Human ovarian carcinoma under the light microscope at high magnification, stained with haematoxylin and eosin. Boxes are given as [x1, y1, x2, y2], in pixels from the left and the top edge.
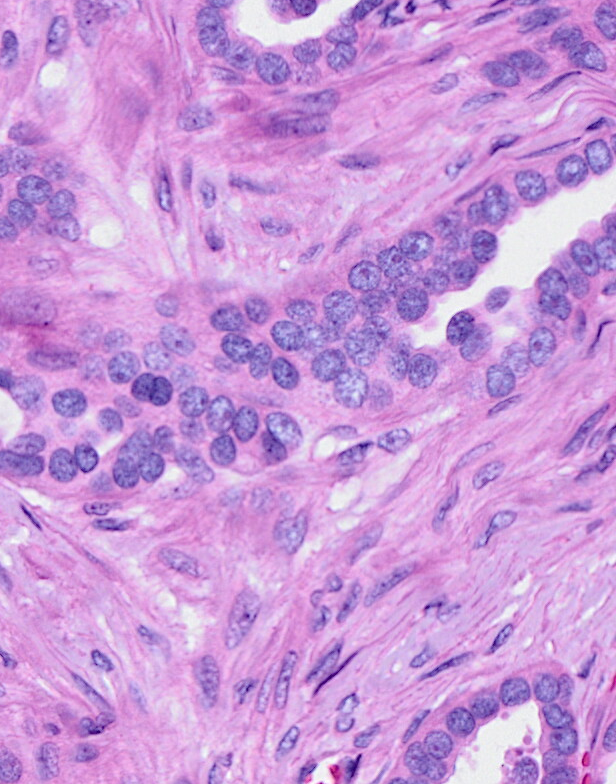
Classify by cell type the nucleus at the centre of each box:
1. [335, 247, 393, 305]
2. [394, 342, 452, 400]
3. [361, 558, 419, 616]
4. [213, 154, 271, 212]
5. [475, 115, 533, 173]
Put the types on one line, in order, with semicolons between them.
carcinoma cell; carcinoma cell; fibroblast; fibroblast; fibroblast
